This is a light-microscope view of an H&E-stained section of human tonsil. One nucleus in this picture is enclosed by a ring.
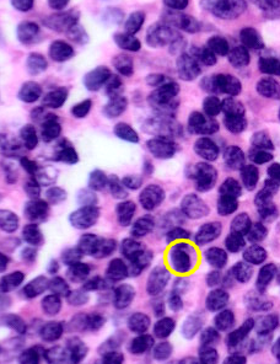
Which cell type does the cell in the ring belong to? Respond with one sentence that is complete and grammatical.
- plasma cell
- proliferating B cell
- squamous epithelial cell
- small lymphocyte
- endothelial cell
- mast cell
Typologically, the cell in the ring is a small lymphocyte in this section.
